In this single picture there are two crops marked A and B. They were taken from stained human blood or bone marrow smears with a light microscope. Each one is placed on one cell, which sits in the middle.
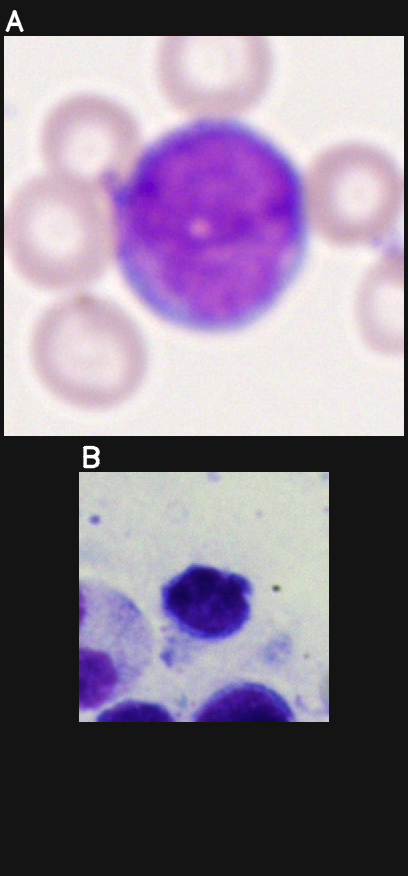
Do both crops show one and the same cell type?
no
